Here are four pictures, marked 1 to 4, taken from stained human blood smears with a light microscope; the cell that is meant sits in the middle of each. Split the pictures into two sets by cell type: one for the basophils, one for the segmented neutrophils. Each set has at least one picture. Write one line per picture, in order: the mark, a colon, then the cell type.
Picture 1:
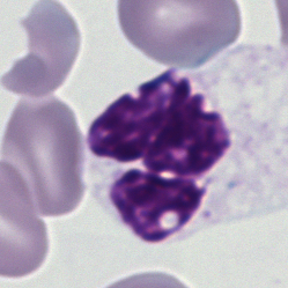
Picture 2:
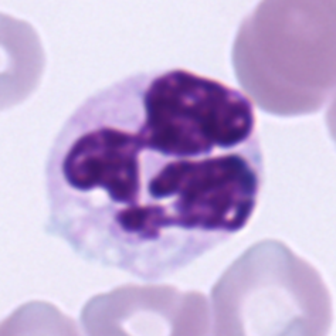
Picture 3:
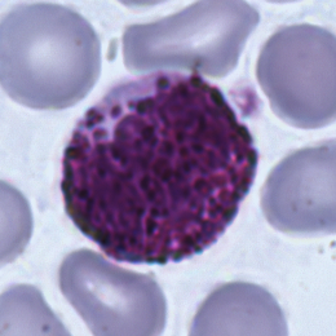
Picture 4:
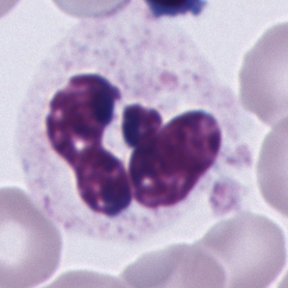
1: segmented neutrophil
2: segmented neutrophil
3: basophil
4: segmented neutrophil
